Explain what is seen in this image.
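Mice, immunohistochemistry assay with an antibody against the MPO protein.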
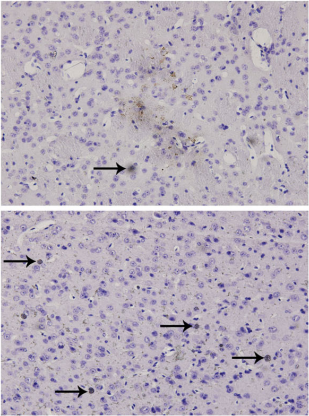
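Two sections of a tissue are stacked, each densely scattered with small blue-stained nuclei in a pale background, with a few small empty vessel spaces. Here and there black arrows point to small, round cells stained dark brown that stand out from the blue nuclei around them.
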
